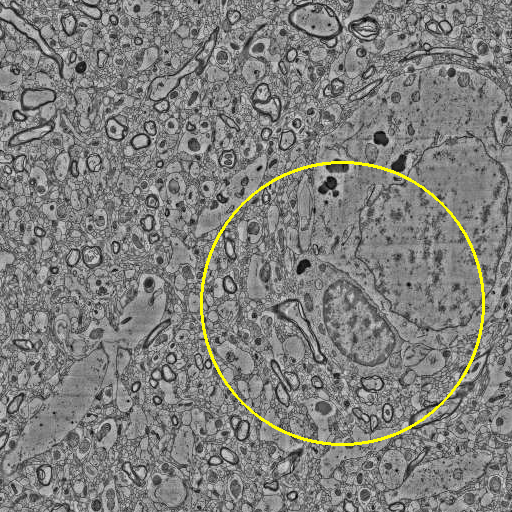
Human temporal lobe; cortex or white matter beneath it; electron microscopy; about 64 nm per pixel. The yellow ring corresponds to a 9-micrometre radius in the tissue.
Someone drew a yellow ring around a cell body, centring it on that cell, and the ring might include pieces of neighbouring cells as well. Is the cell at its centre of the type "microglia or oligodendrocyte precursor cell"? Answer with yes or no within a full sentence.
No, within the picture, the cell the ring is centred on is a different type.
